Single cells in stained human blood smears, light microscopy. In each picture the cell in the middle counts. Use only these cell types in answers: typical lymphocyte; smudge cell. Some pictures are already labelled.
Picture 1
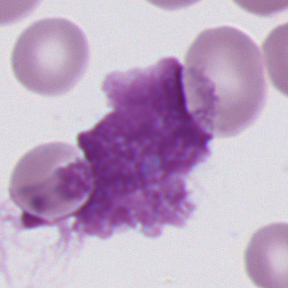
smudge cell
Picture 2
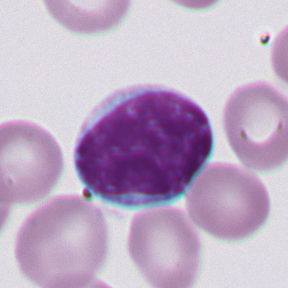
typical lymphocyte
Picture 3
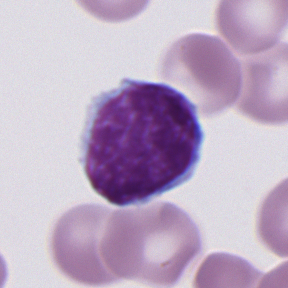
typical lymphocyte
